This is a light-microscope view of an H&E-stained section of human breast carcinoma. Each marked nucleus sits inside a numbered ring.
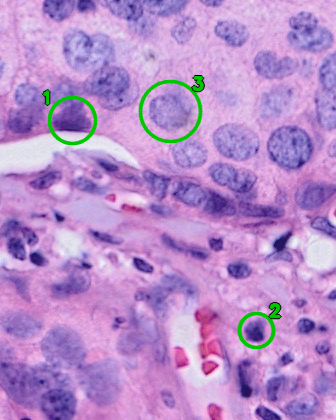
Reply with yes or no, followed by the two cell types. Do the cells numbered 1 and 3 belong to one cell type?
Yes, both cells 1 and 3 are carcinoma cells.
